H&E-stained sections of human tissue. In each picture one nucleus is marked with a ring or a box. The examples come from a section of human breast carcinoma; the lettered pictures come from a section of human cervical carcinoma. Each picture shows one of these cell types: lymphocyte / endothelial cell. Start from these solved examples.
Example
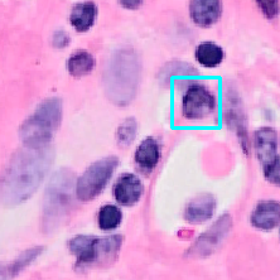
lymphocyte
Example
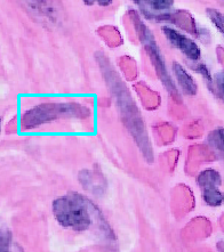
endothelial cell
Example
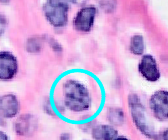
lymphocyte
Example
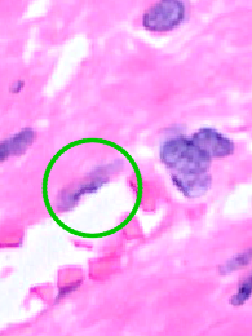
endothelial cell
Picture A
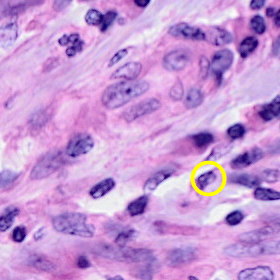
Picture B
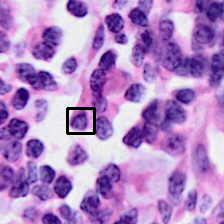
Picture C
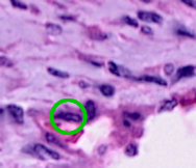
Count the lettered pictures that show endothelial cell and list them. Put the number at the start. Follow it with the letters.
1: C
